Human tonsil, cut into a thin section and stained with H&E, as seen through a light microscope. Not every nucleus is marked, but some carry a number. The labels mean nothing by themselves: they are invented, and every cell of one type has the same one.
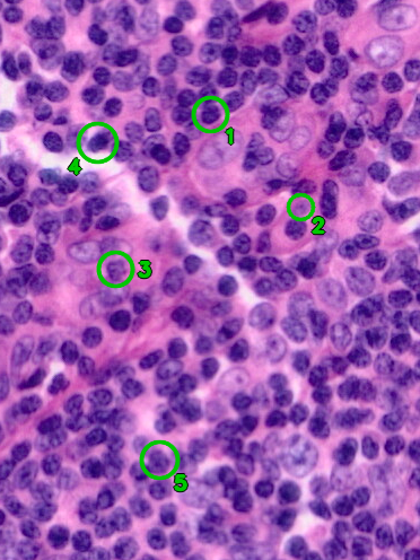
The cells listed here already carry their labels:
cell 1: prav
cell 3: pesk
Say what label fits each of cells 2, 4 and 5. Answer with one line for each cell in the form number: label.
2: pesk
4: prav
5: prav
